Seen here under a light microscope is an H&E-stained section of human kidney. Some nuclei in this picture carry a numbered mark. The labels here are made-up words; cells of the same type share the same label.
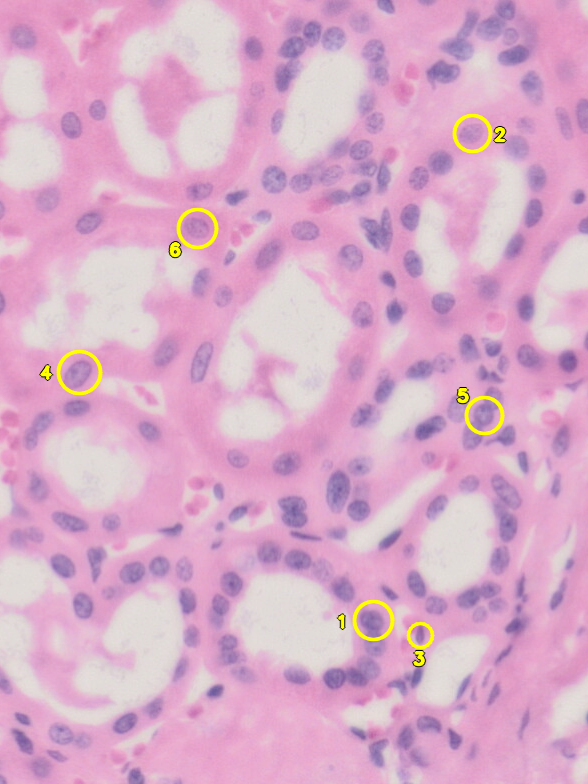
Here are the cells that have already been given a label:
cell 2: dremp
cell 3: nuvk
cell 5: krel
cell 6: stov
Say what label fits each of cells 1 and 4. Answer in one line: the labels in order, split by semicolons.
krel; stov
